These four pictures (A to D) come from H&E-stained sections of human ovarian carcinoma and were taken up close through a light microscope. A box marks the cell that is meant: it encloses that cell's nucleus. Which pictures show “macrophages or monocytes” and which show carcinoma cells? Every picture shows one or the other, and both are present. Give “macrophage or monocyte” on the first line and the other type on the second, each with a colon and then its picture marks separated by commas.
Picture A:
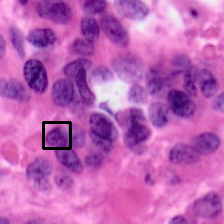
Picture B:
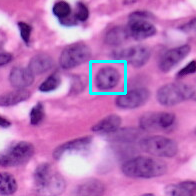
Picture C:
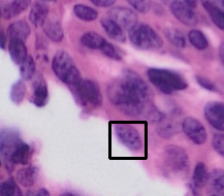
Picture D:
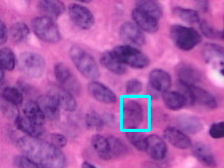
macrophage or monocyte: B
carcinoma cell: A, C, D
